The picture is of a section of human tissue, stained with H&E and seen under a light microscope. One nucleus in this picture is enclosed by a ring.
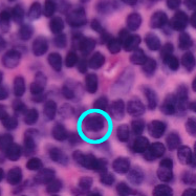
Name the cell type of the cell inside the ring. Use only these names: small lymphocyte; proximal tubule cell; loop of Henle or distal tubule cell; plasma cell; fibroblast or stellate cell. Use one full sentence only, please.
The category to which the cell inside the ring belongs is that of a small lymphocyte.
